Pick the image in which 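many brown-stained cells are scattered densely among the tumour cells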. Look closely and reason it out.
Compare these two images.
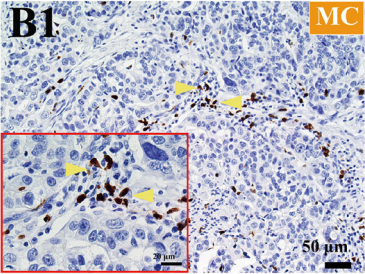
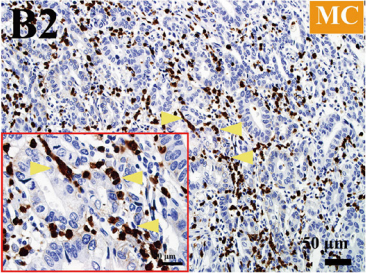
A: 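Second image: numerous dark brown cells are dispersed throughout the tumour tissue. First image: only a few brown cells lie among the tumour cells. The answer: the second image.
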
